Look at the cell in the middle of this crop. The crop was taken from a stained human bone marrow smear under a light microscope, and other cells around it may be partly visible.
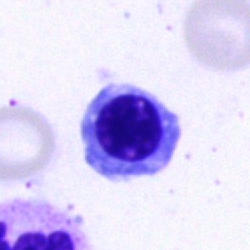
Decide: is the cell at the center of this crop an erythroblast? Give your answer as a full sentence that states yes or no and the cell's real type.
Yes, the cell at the centre of the field is an erythroblast.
